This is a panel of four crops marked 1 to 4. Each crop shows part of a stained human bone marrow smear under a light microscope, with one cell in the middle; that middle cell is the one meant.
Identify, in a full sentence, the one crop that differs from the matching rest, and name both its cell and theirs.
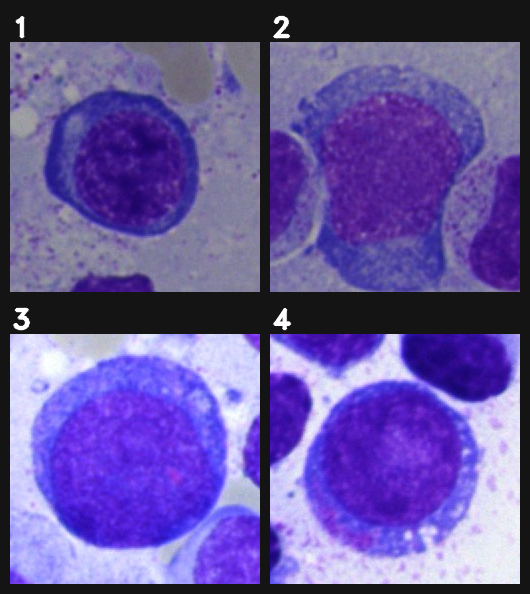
Only in crop 1 is there an erythroblast; all other crops show blasts.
